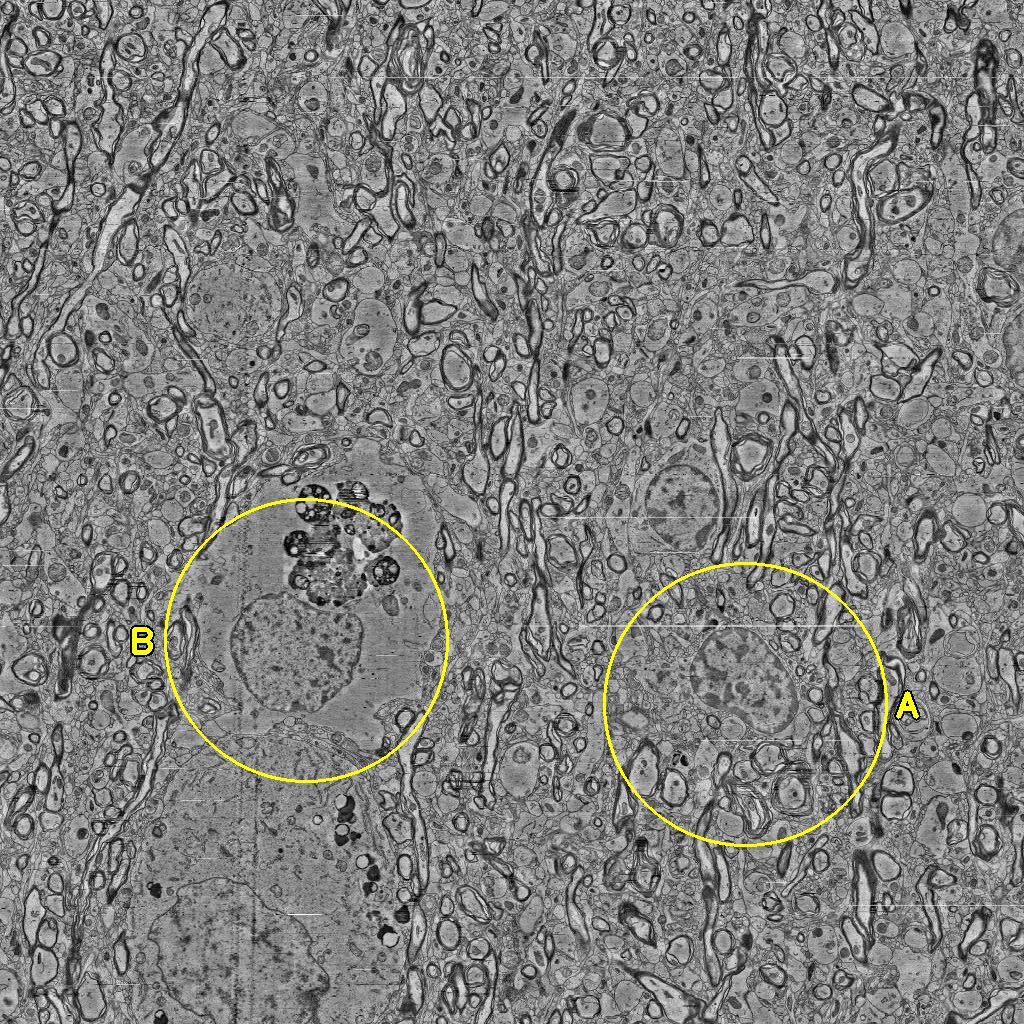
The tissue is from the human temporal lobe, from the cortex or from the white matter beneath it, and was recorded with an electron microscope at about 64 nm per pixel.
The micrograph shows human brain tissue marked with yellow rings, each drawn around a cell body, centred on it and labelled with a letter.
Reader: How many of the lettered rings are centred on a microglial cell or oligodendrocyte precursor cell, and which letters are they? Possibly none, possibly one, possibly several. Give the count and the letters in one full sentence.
The ring labelled A is the only one centred on a microglial cell or oligodendrocyte precursor cell.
